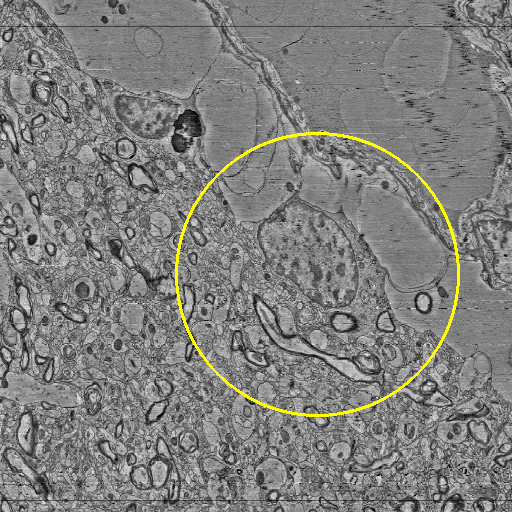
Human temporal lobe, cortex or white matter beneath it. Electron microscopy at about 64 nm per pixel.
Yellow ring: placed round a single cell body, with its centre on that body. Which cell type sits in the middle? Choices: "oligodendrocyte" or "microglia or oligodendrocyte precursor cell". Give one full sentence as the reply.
It is an oligodendrocyte whose cell body sits at the centre of the yellow ring.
